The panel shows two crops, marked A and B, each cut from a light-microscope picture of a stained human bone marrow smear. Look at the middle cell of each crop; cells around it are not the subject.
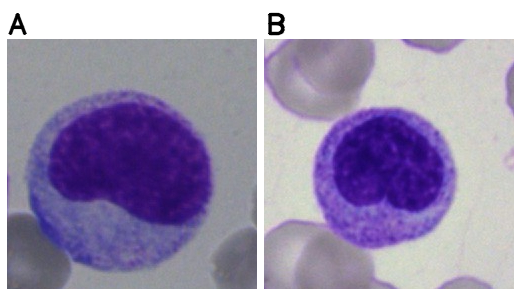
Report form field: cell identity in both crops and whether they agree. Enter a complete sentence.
Yes, in both crops the centred cells are metamyelocytes.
